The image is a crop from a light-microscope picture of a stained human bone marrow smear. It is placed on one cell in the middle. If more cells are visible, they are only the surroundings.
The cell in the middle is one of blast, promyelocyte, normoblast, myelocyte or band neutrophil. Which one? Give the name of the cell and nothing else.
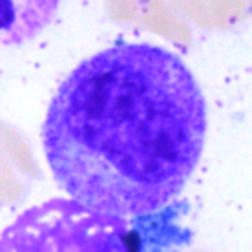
myelocyte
